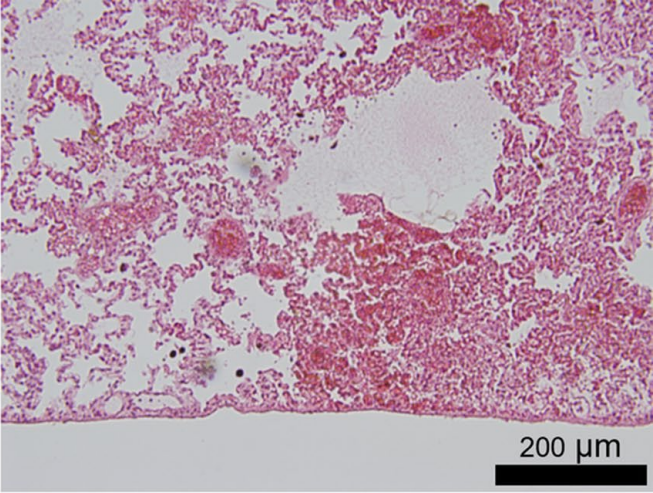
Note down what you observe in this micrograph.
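This is lung parenchyma in which the alveolar spaces of the lower and right part are flooded with densely packed, small, round red-staining cells that largely obscure the thin alveolar walls. In the upper left the alveoli are more open, and their delicate pink septa remain visible. A large, rounded space with pale contents lies near the top centre. A smooth thin surface lining borders the tissue along the bottom, and scattered small brown granules are dotted through the field.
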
